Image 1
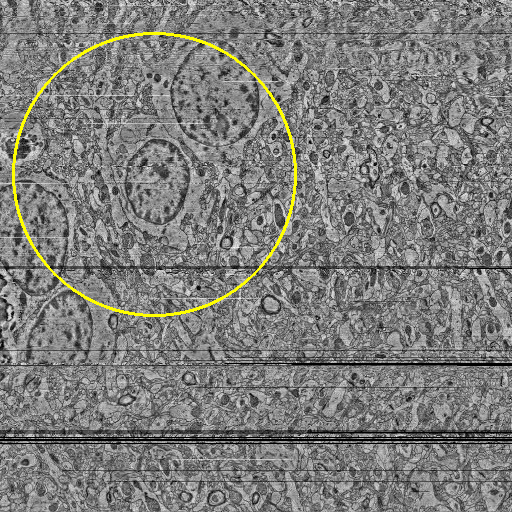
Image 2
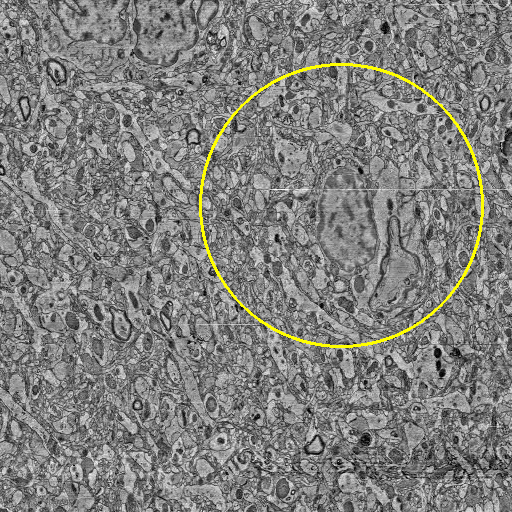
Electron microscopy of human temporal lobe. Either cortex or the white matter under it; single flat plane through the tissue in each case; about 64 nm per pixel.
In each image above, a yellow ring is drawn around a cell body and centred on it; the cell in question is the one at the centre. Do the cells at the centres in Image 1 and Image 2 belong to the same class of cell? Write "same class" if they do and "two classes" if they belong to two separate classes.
two classes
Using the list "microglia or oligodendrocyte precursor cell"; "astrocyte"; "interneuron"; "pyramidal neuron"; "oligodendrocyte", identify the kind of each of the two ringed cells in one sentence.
The first is an astrocyte and the second is an oligodendrocyte.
